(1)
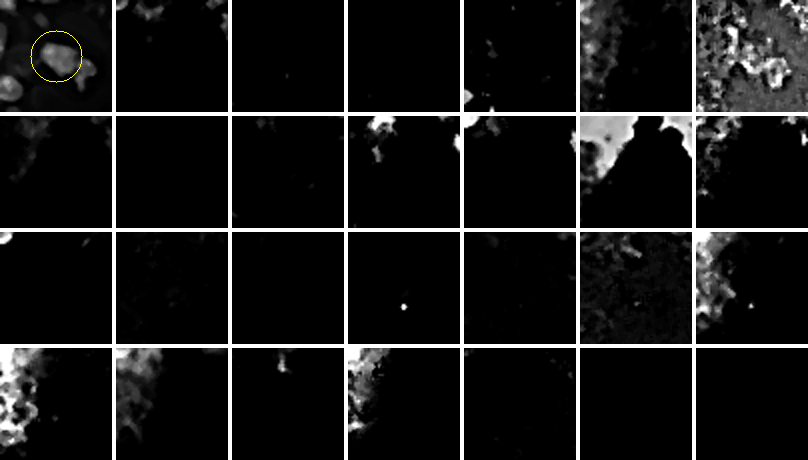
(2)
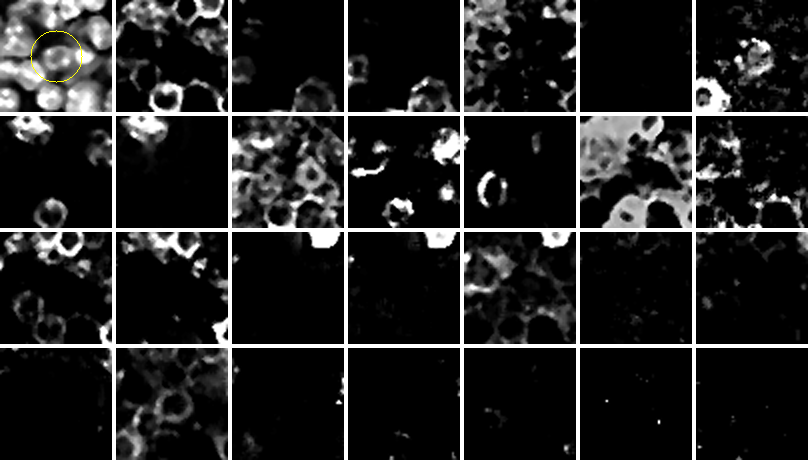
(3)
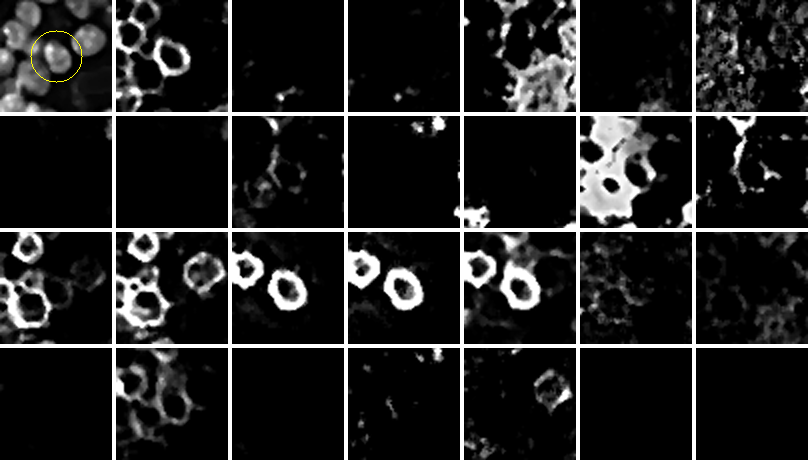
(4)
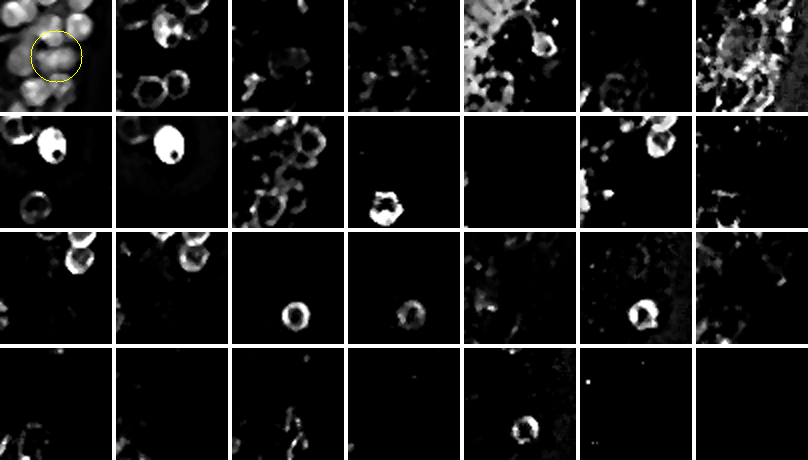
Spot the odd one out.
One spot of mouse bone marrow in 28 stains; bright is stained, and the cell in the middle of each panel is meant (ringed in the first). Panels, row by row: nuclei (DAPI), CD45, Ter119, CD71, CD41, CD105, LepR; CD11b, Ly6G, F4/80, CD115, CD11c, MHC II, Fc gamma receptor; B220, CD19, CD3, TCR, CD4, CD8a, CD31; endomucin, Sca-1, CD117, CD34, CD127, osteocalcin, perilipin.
Picture 3 (a CD4 T cell among LepR-positive perivascular cells).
